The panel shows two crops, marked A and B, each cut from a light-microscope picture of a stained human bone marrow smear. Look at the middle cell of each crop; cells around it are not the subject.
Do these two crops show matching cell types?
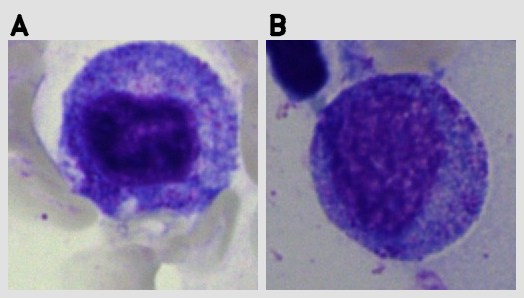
yes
